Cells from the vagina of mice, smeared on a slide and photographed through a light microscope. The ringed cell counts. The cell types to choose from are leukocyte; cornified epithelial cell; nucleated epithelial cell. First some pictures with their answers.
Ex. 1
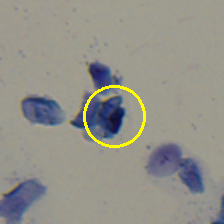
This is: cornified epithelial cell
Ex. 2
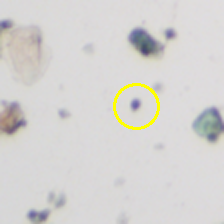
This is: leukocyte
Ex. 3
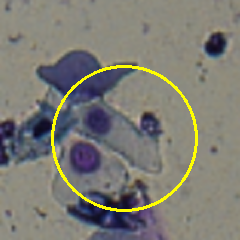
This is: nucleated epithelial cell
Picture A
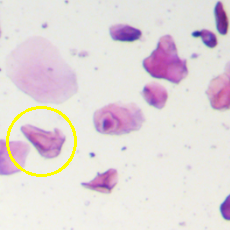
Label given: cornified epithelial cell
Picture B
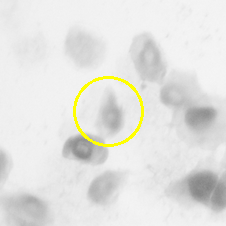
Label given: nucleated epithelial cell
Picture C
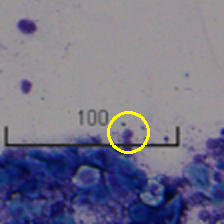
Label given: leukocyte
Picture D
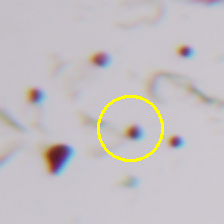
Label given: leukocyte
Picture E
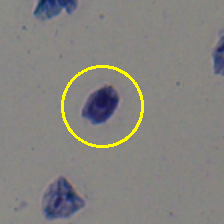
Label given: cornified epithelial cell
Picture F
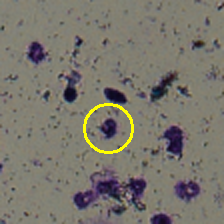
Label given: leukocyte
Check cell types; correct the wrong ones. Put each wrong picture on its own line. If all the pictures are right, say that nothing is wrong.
E is labelled cornified epithelial cell; correct label: nucleated epithelial cell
